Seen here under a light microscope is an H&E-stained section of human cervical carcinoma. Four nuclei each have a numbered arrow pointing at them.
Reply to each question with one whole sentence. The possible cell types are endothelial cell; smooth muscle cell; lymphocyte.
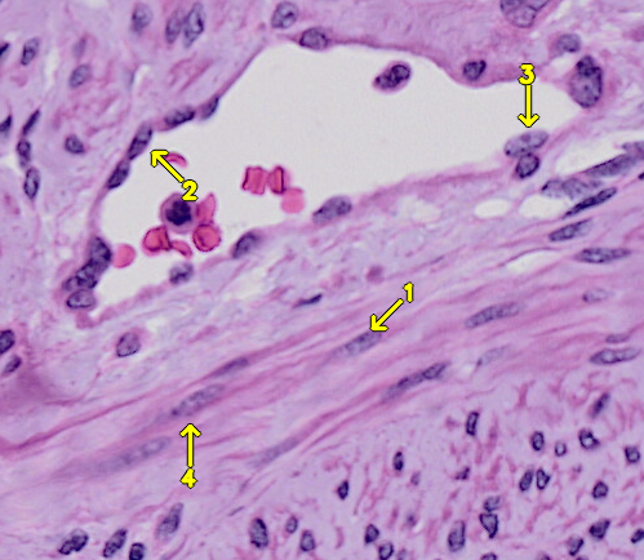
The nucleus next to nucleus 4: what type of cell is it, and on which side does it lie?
The nearest one is a smooth muscle cell, found above and to the right of nucleus 4.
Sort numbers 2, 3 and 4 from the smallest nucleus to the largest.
The order from the smallest nucleus to the largest is 2, 3, 4.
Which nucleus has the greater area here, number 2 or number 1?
It is nucleus 1, which covers about 1.5 times the area of nucleus 2.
